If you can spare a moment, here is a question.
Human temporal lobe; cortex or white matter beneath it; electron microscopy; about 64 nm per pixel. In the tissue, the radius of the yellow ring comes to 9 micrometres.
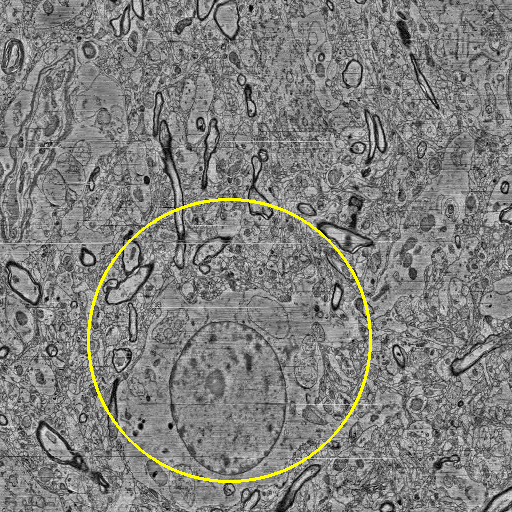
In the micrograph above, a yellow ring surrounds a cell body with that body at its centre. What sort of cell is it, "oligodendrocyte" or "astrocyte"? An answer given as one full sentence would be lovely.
Centred inside the yellow ring, the cell body shown belongs to an astrocyte in this micrograph.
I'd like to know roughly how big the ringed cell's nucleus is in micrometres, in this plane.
Approximately 10 micrometres long and 7 micrometres wide, in this plane.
